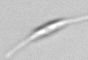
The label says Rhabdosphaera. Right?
Wrong: this is Cylindrotheca.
